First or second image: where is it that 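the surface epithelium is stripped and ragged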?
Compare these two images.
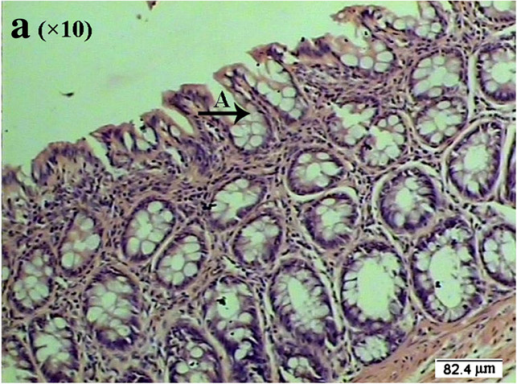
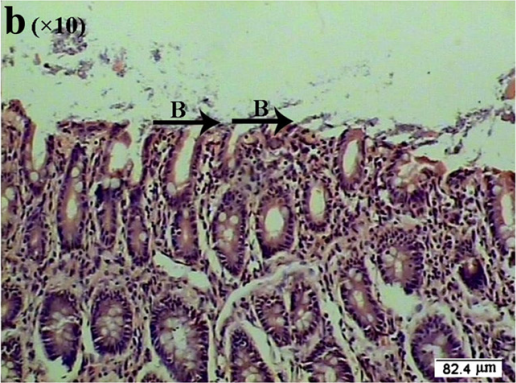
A: The second image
